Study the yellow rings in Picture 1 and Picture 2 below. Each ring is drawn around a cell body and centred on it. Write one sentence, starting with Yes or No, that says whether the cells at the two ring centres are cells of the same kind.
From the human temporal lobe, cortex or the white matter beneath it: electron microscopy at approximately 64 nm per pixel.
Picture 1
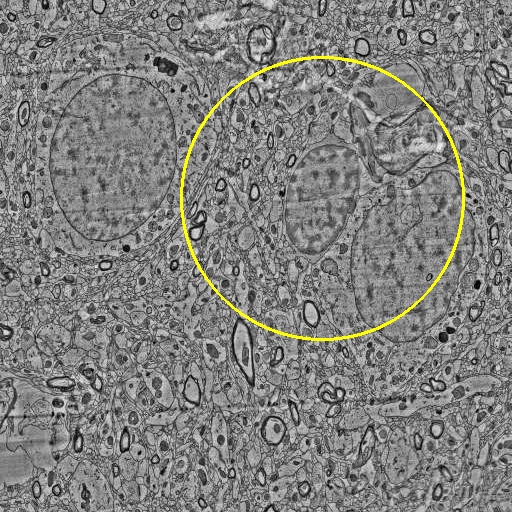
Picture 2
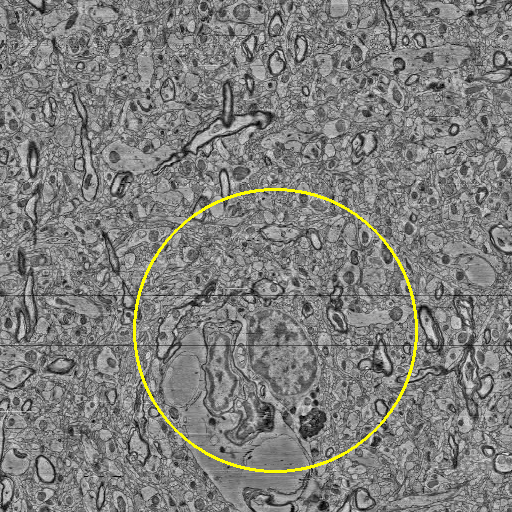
Yes, the cells at both ring centres are of the same kind.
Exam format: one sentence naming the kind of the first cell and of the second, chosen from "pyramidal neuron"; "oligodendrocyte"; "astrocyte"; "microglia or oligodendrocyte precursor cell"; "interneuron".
Each of the two rings is centred on an oligodendrocyte.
